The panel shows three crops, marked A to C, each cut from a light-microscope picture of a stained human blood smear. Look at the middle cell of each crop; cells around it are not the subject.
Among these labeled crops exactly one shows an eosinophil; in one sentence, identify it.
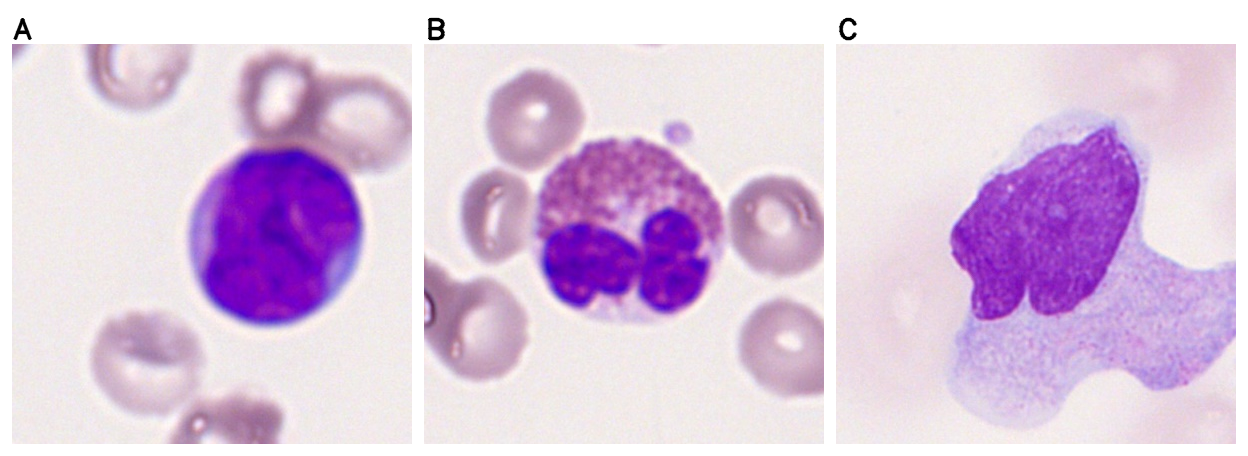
Crop B is the single crop that shows an eosinophil.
